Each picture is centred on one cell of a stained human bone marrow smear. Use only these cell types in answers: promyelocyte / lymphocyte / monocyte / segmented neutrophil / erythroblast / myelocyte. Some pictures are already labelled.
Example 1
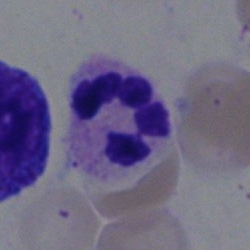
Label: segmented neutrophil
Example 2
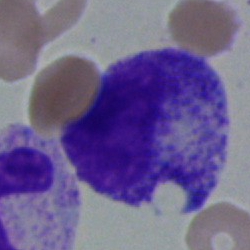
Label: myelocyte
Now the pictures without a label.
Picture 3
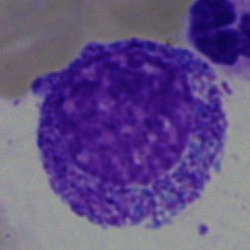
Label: promyelocyte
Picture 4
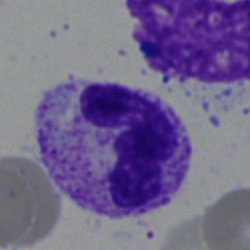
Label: segmented neutrophil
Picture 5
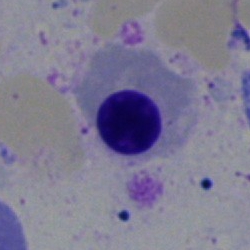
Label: erythroblast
